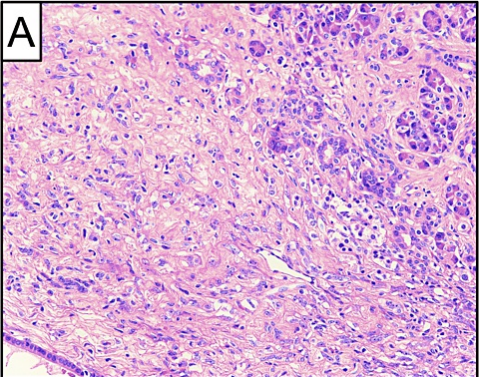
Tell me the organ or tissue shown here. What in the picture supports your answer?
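Pancreatic parenchyma. Clusters of acini with granular purple cytoplasm lie at the upper right. Small ducts lined by cuboidal epithelium sit among the lesion.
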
